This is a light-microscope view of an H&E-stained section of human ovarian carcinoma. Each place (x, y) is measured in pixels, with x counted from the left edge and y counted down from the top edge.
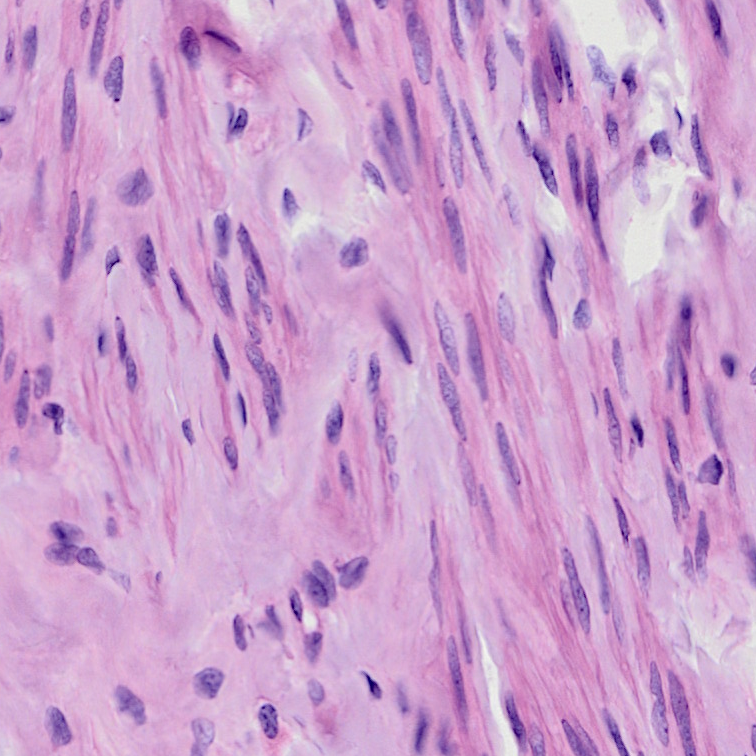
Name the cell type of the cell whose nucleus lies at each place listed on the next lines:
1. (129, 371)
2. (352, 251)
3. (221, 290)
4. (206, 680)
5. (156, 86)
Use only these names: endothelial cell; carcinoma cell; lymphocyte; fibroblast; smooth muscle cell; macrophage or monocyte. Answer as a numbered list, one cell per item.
1. smooth muscle cell
2. fibroblast
3. smooth muscle cell
4. fibroblast
5. smooth muscle cell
